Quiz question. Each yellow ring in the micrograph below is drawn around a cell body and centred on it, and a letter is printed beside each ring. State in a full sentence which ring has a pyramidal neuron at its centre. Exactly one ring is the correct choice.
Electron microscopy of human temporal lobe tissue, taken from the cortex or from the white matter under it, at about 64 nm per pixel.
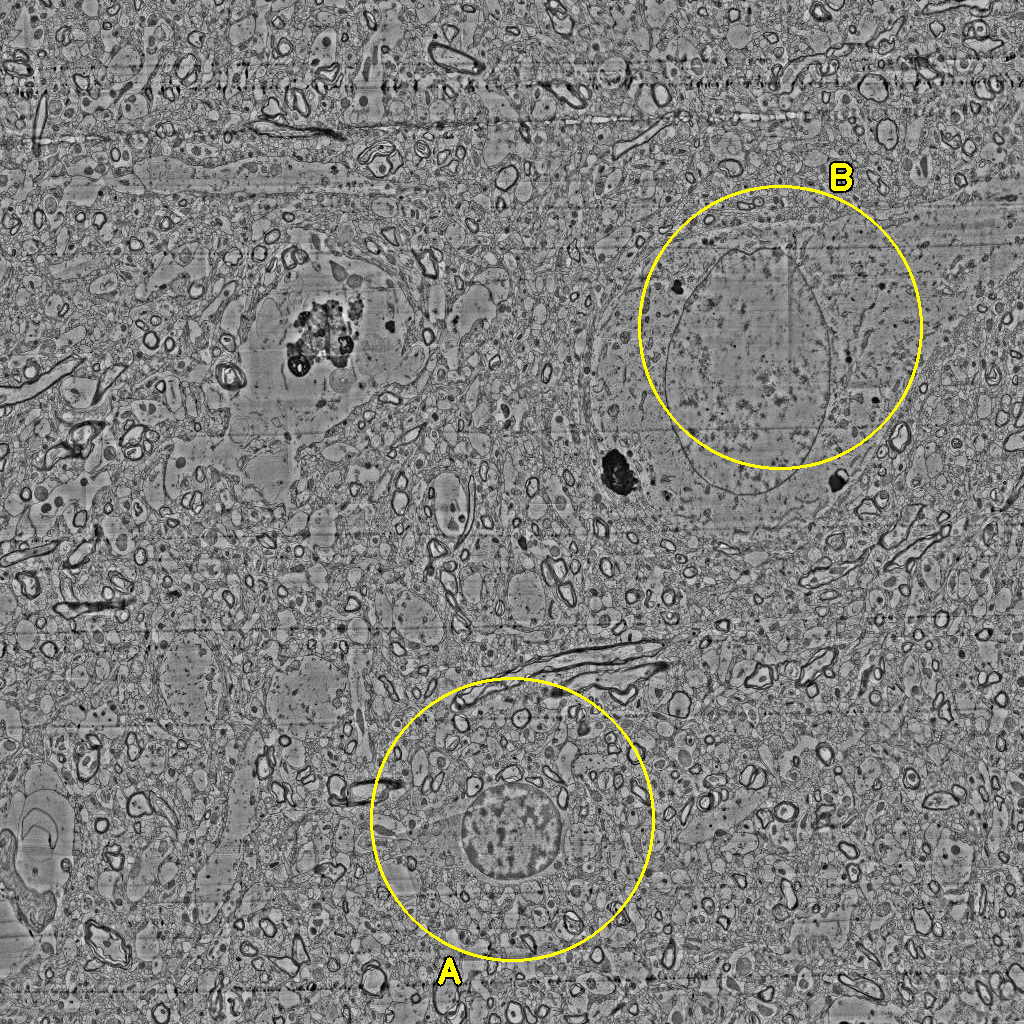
The correct ring is ring B.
